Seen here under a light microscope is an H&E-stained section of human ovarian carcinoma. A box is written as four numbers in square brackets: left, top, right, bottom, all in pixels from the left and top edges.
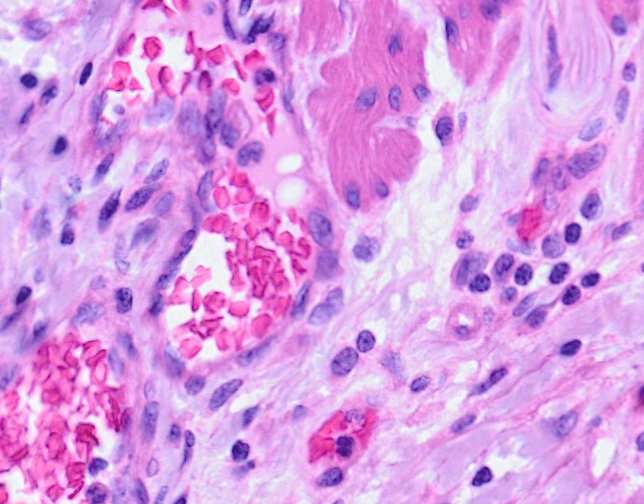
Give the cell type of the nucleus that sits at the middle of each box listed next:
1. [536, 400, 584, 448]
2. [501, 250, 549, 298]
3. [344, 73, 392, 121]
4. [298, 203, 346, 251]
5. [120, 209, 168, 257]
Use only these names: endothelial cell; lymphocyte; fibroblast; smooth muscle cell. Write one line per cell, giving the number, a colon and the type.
1: fibroblast
2: lymphocyte
3: smooth muscle cell
4: endothelial cell
5: fibroblast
